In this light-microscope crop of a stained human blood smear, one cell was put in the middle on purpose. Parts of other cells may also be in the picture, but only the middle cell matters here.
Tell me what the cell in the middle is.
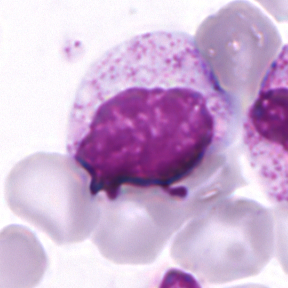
myelocyte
